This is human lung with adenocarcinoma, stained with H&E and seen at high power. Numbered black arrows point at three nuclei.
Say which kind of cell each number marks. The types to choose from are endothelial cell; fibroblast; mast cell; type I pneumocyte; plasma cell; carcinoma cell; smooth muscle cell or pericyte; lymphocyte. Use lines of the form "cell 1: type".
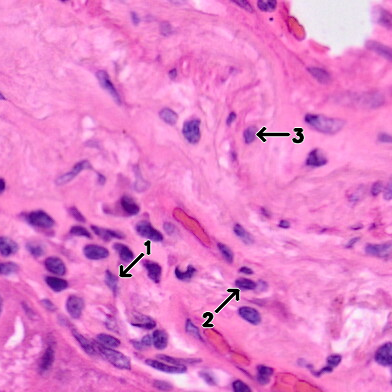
cell 1: lymphocyte
cell 2: lymphocyte
cell 3: smooth muscle cell or pericyte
